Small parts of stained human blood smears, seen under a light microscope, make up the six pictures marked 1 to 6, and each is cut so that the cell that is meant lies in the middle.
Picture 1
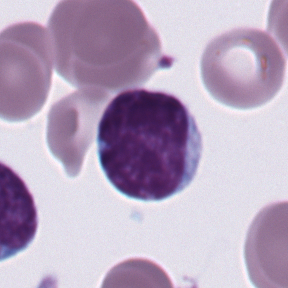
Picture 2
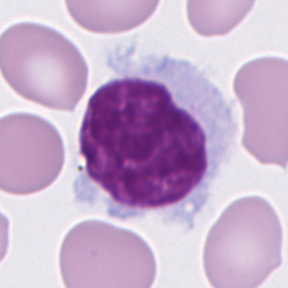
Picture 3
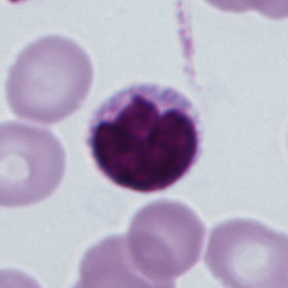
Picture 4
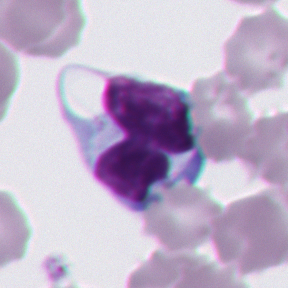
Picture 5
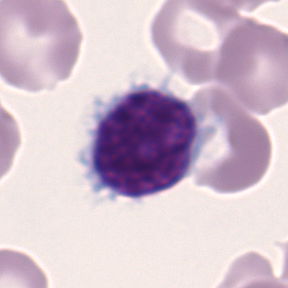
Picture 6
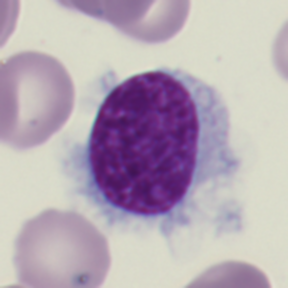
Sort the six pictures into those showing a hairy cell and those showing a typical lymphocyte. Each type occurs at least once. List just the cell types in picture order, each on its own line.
typical lymphocyte
hairy cell
typical lymphocyte
typical lymphocyte
hairy cell
hairy cell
